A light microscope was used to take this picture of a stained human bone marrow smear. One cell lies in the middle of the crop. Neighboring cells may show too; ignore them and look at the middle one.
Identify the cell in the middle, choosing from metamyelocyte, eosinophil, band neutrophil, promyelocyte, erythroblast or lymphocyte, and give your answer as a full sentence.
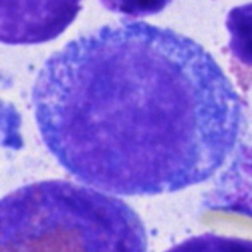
In this smear crop, the middle cell is a promyelocyte.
